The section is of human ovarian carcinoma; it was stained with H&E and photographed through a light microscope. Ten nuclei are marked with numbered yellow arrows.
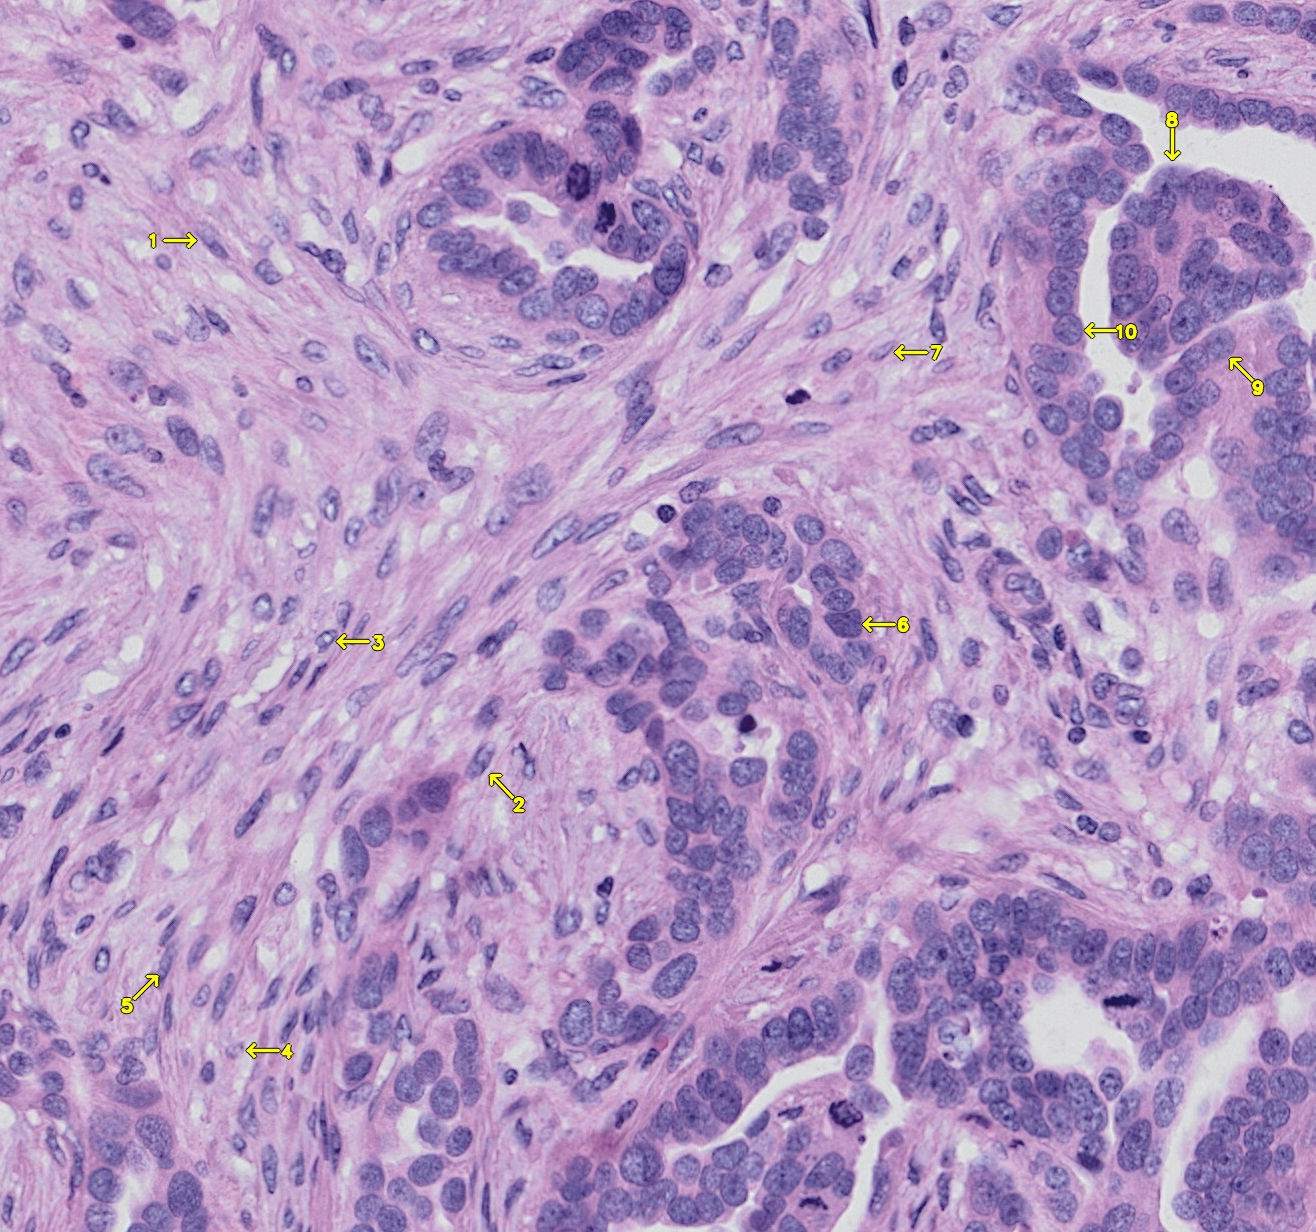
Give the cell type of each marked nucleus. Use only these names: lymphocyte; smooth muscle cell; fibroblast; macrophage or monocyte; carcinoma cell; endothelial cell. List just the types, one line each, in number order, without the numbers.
fibroblast
fibroblast
fibroblast
fibroblast
fibroblast
carcinoma cell
fibroblast
carcinoma cell
carcinoma cell
carcinoma cell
